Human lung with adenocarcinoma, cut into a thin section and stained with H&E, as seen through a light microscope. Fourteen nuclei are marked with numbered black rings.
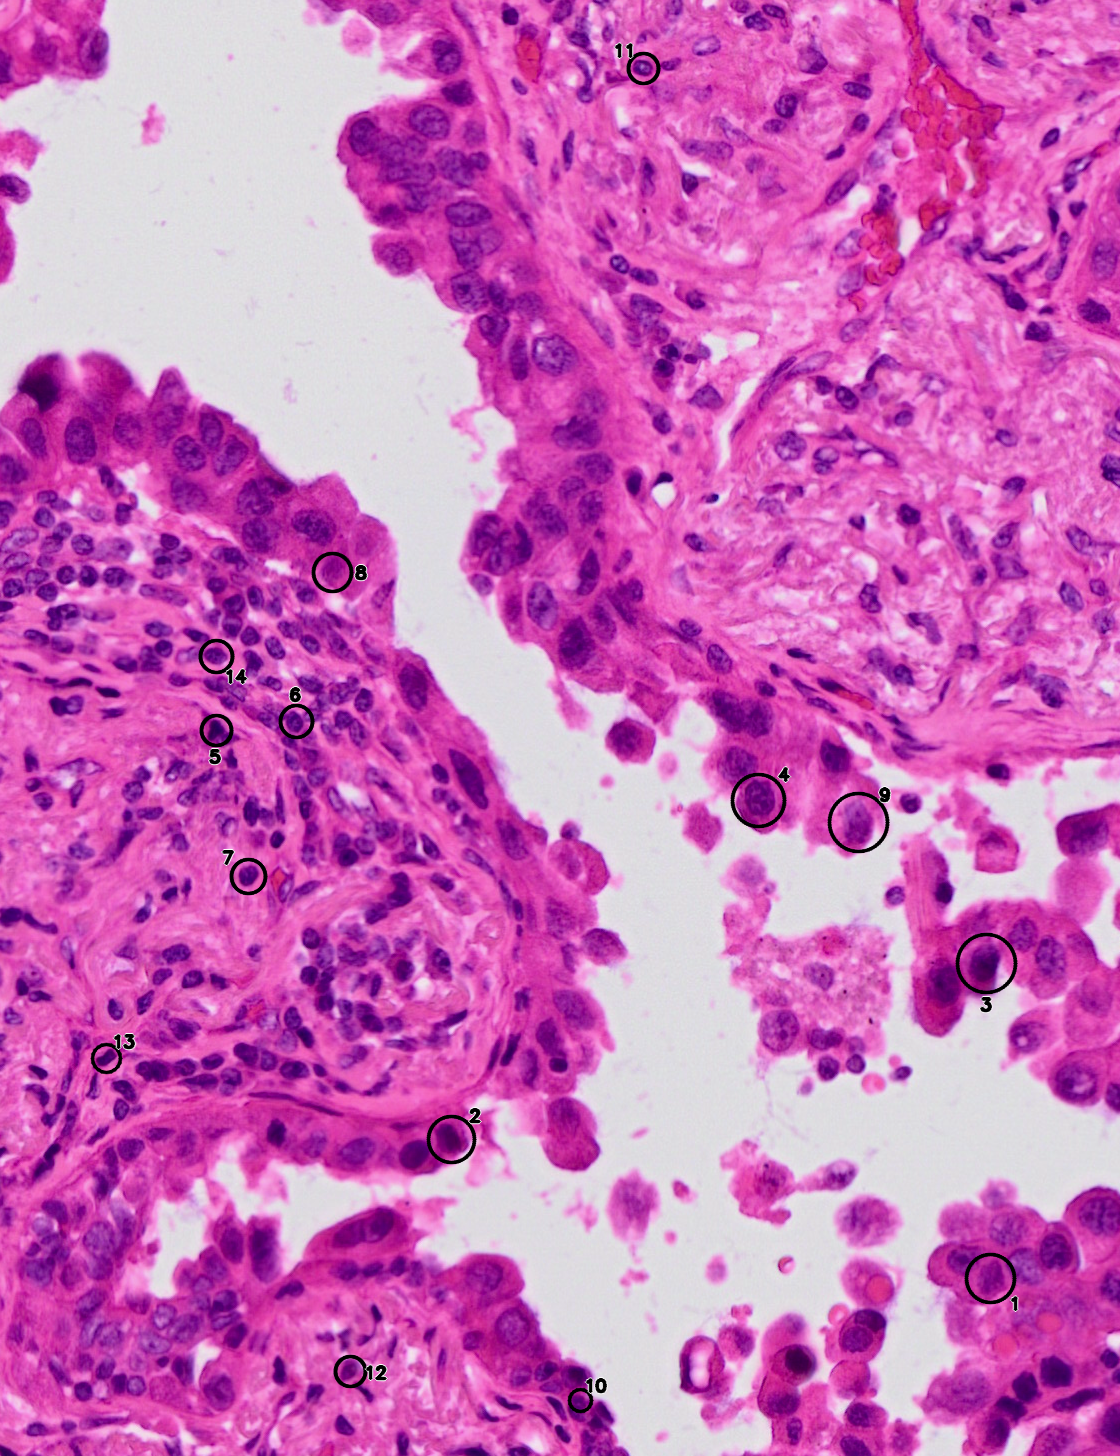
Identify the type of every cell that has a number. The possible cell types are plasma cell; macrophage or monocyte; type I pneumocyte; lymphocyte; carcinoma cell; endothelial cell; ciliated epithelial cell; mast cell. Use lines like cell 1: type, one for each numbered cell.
cell 1: carcinoma cell
cell 2: carcinoma cell
cell 3: carcinoma cell
cell 4: carcinoma cell
cell 5: plasma cell
cell 6: lymphocyte
cell 7: lymphocyte
cell 8: carcinoma cell
cell 9: carcinoma cell
cell 10: ciliated epithelial cell
cell 11: mast cell
cell 12: plasma cell
cell 13: plasma cell
cell 14: lymphocyte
